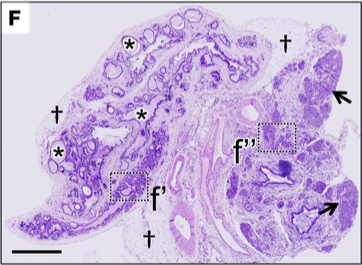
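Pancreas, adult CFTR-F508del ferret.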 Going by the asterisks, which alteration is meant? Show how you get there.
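Ductal dilatation. The asterisks sit in enlarged ducts with wide lumens.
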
